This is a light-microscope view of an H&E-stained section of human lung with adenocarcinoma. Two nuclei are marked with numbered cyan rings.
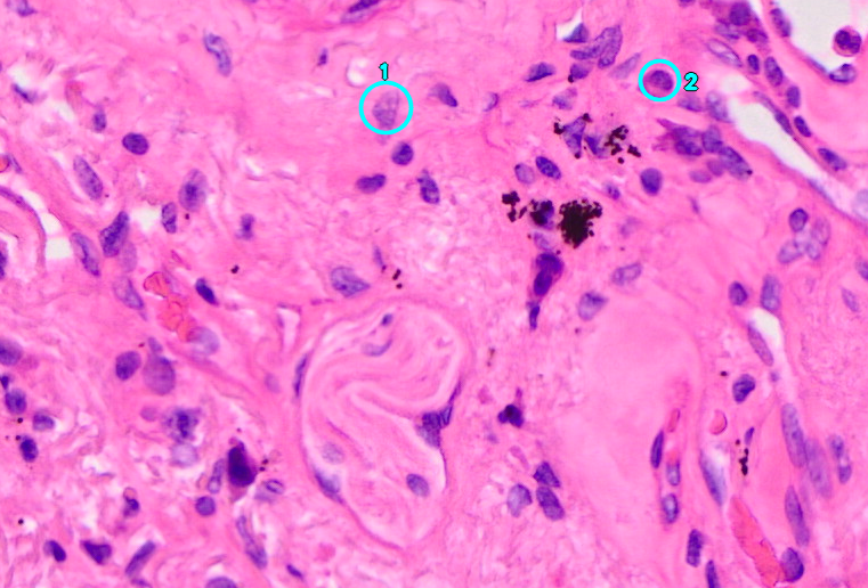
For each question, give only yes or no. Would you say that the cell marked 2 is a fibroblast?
no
